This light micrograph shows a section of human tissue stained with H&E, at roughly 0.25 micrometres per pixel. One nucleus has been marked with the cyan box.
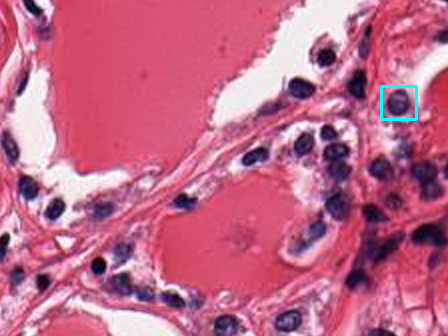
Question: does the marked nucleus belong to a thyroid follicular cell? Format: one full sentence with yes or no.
Yes, the cell that houses the marked nucleus is a thyroid follicular cell.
